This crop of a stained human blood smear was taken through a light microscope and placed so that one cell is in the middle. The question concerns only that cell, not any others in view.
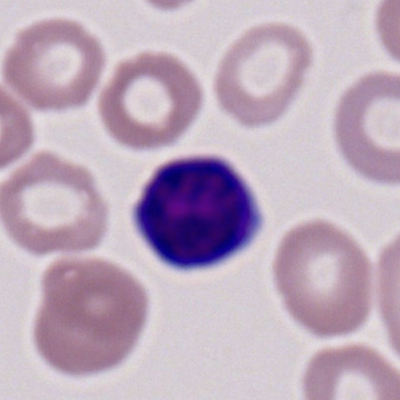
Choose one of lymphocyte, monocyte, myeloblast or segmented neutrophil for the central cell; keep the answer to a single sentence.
The centered cell in this crop is a lymphocyte.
